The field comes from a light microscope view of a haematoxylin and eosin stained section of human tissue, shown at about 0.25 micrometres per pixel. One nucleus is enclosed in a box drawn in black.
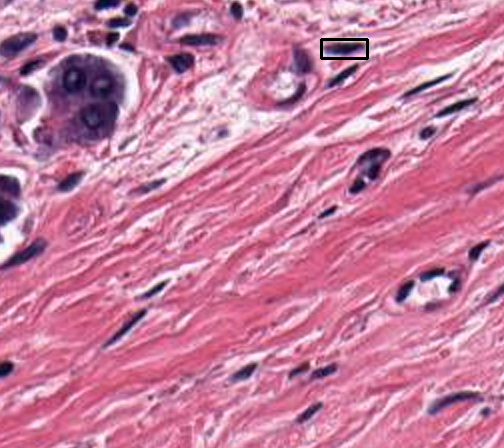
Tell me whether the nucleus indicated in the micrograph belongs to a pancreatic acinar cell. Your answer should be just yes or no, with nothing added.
no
